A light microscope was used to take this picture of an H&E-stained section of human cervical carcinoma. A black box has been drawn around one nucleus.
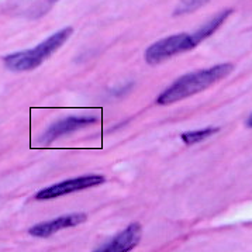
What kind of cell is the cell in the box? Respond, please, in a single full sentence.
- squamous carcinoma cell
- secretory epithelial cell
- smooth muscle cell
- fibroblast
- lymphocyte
In this tissue sample, the cell in the box is a fibroblast.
